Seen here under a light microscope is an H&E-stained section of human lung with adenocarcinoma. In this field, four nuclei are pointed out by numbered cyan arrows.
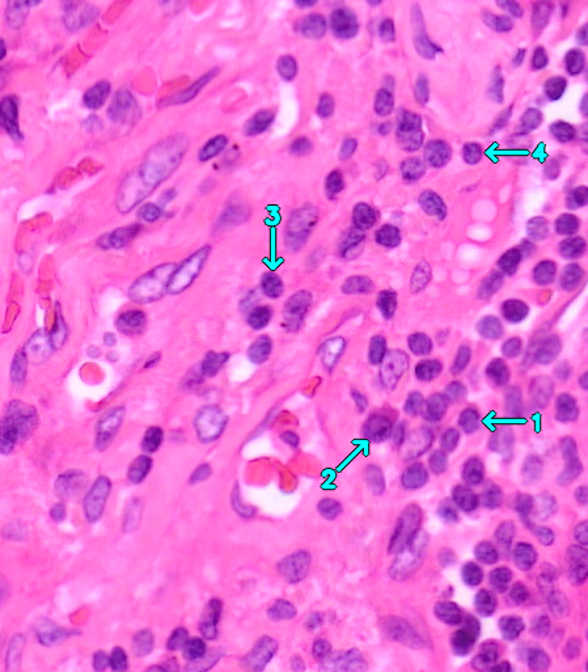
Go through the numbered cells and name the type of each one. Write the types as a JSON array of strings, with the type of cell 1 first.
["lymphocyte", "plasma cell", "lymphocyte", "lymphocyte"]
